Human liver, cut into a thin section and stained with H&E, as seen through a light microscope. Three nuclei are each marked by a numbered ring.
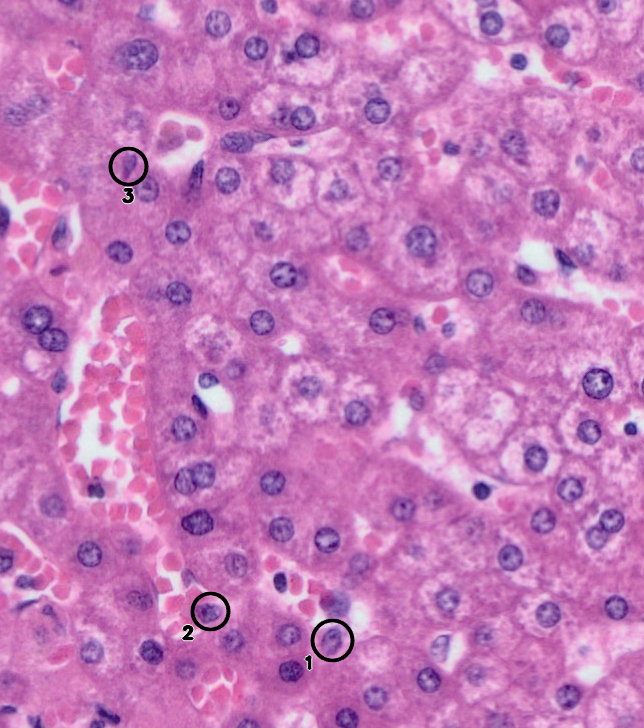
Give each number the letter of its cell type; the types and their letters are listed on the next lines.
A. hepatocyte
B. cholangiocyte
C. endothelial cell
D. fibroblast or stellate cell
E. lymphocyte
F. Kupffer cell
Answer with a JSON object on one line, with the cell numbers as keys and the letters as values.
{"1": "F", "2": "F", "3": "D"}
